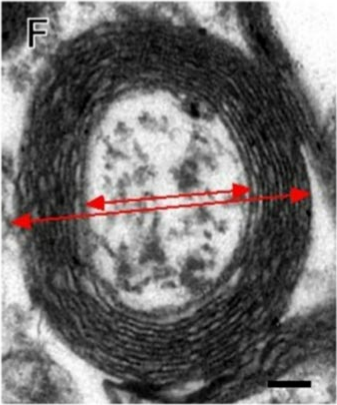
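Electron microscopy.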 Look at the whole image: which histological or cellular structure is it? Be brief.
axon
